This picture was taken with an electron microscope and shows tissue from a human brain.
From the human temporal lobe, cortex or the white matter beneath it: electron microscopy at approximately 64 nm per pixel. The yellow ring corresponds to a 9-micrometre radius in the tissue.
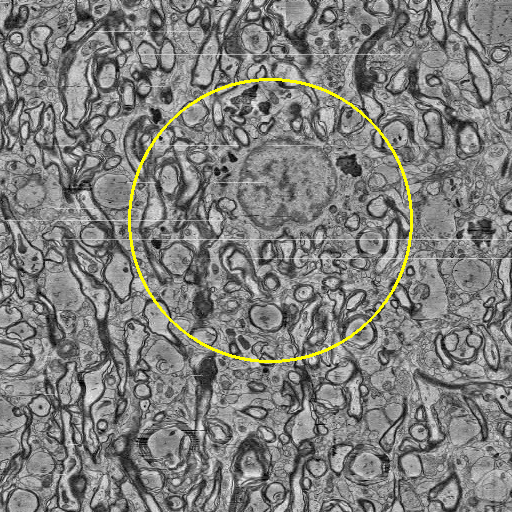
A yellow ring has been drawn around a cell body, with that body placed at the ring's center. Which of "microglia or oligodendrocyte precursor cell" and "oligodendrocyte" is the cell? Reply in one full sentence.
In this picture, an oligodendrocyte is the cell at the center of the yellow ring.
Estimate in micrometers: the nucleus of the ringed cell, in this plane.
Approximately 6 micrometres across, in this plane.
